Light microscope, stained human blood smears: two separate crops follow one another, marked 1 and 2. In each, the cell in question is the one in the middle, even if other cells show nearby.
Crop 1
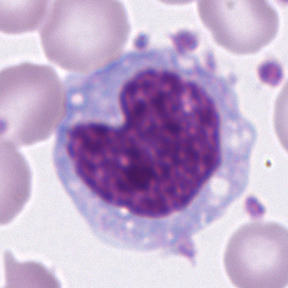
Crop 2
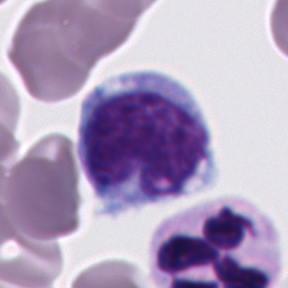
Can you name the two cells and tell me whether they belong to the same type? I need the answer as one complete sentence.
Yes, both crops show monocytes in the centre of the field.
